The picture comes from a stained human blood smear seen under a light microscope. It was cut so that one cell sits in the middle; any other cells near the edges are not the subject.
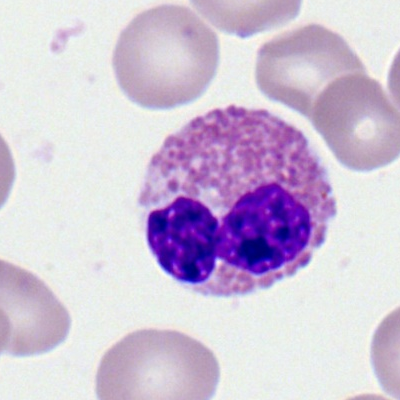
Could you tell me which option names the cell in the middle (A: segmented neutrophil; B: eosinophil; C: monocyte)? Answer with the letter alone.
B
